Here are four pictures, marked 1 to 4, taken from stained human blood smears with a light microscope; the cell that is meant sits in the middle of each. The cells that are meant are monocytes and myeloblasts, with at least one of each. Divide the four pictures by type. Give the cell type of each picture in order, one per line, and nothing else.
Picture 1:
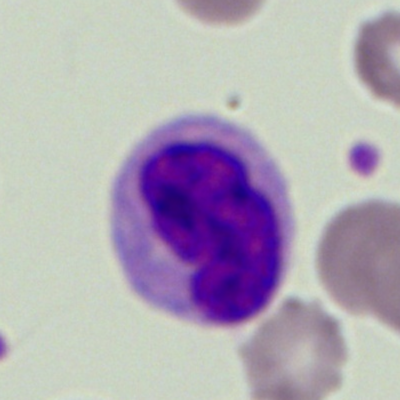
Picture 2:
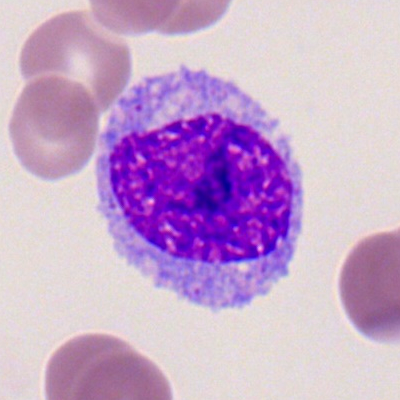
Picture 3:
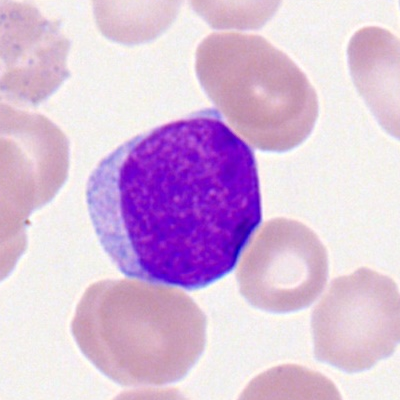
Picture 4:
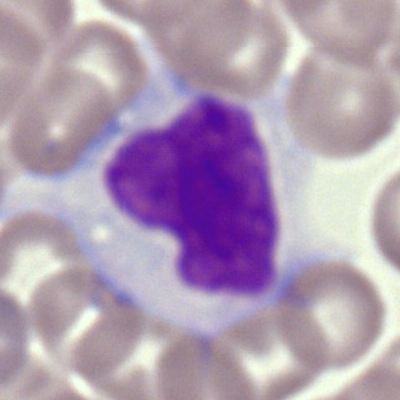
monocyte
monocyte
myeloblast
monocyte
